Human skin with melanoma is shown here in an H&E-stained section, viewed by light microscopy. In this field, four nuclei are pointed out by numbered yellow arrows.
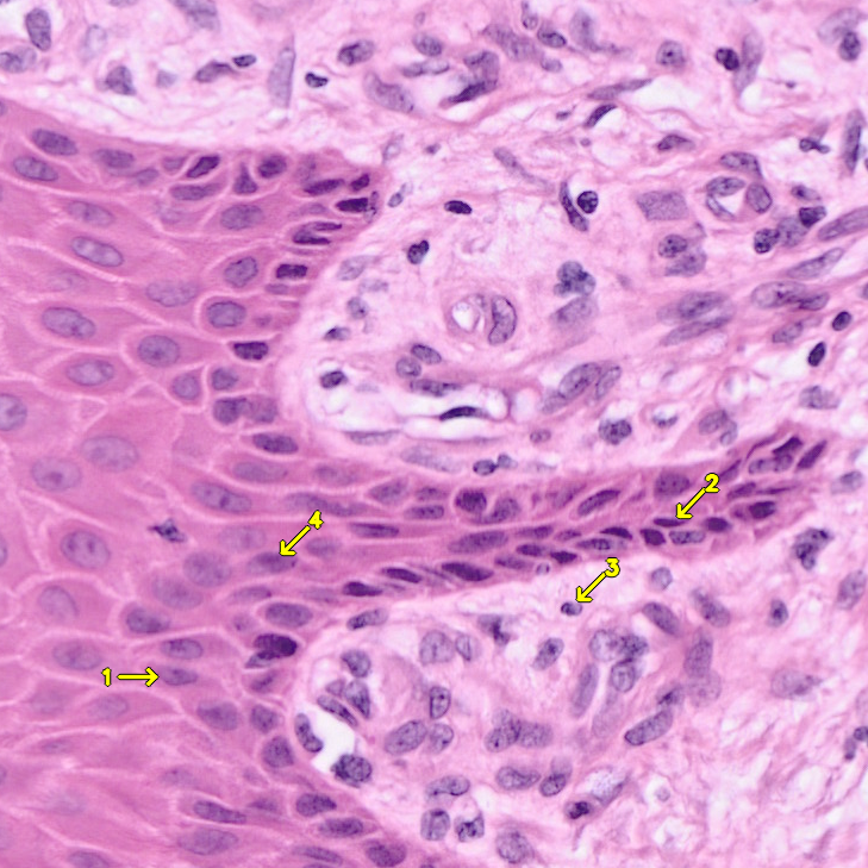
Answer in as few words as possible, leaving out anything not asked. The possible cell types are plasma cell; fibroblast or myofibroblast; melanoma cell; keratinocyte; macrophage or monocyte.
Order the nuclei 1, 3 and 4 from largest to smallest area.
4, 1, 3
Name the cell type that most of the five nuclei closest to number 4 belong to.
keratinocyte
